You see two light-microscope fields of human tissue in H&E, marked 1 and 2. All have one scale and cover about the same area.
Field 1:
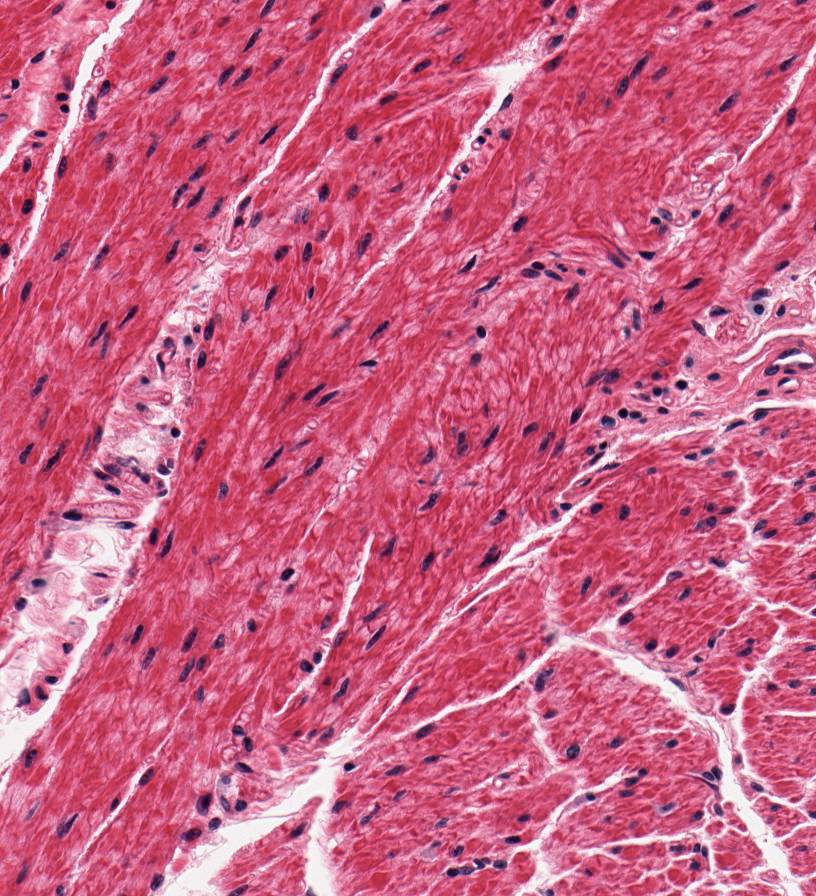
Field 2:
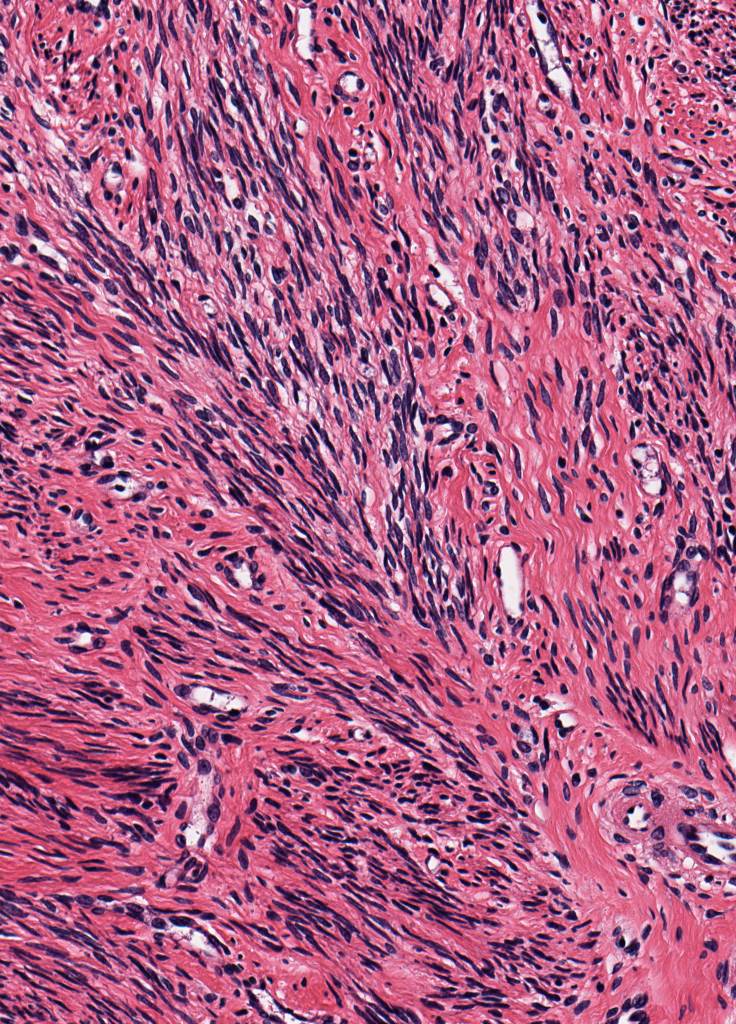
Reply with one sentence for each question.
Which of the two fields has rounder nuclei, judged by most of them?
The nuclei are rounder in field 1.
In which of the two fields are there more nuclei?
More nuclei lie in field 2 than in field 1.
